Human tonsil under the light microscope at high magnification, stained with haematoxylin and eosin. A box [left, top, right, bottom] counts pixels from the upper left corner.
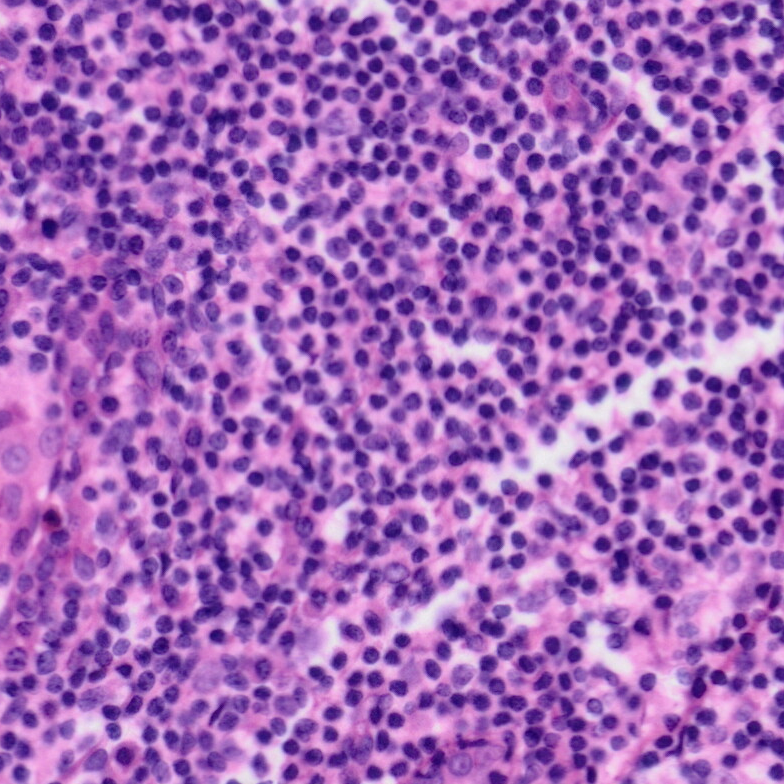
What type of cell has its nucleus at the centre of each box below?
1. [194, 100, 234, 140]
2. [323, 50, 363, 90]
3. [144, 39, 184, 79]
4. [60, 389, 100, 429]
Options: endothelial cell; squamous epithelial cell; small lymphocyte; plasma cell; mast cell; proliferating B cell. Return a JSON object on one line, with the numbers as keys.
{"1": "small lymphocyte", "2": "small lymphocyte", "3": "small lymphocyte", "4": "plasma cell"}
